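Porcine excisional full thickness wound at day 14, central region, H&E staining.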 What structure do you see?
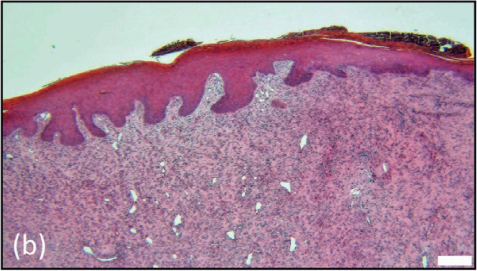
Epidermal ridges.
